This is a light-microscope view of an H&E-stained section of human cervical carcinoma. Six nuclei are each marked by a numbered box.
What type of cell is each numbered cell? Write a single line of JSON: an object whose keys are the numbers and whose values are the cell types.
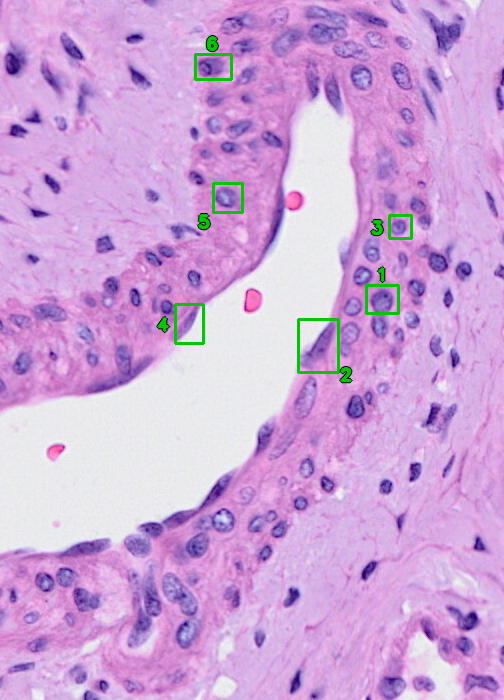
{"1": "smooth muscle cell", "2": "endothelial cell", "3": "smooth muscle cell", "4": "endothelial cell", "5": "smooth muscle cell", "6": "smooth muscle cell"}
